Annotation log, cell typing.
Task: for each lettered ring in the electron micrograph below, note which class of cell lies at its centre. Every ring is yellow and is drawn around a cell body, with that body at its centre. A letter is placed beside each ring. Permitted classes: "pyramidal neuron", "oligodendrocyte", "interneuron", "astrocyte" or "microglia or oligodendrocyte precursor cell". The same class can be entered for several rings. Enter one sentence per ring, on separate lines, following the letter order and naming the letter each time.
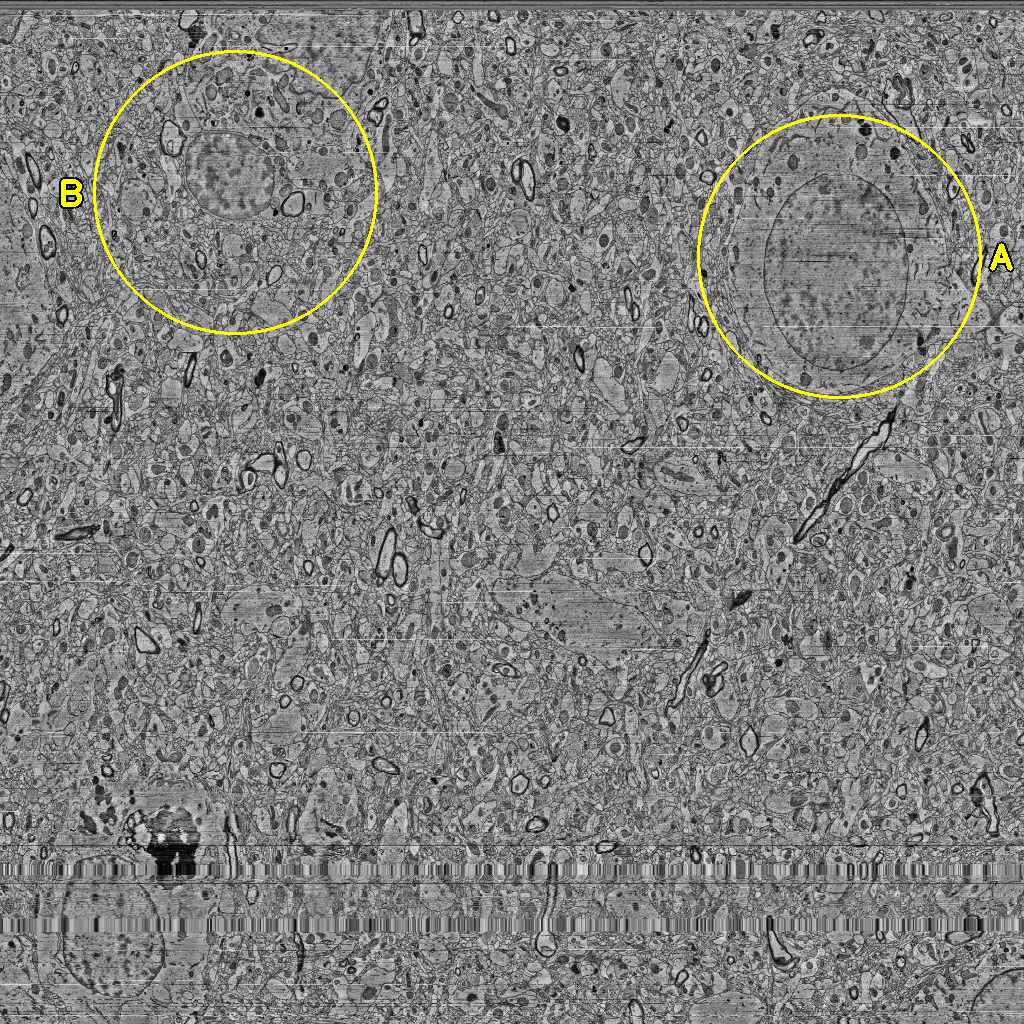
The cell at the centre of ring A is a pyramidal neuron.
The cell at the centre of ring B is an oligodendrocyte.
